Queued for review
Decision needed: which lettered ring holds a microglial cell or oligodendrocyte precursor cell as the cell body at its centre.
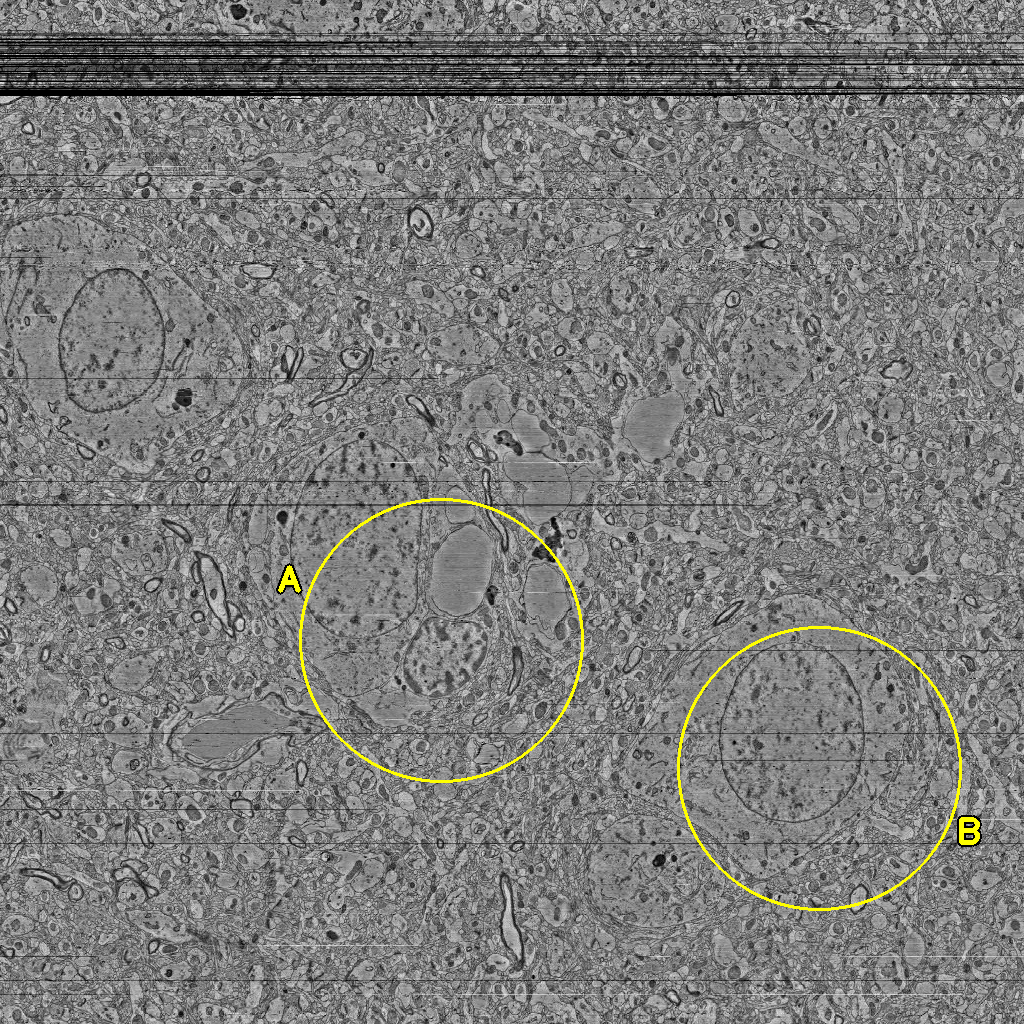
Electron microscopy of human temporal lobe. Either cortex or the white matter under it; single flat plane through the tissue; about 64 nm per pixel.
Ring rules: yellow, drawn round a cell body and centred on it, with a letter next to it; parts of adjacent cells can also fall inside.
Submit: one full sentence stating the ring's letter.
The cell asked for is the one at the centre of ring A in the picture.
